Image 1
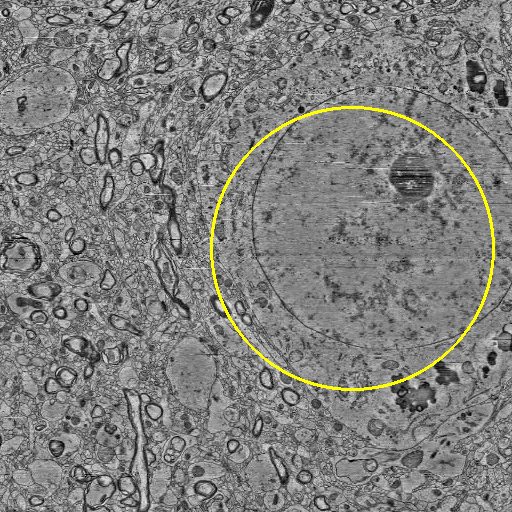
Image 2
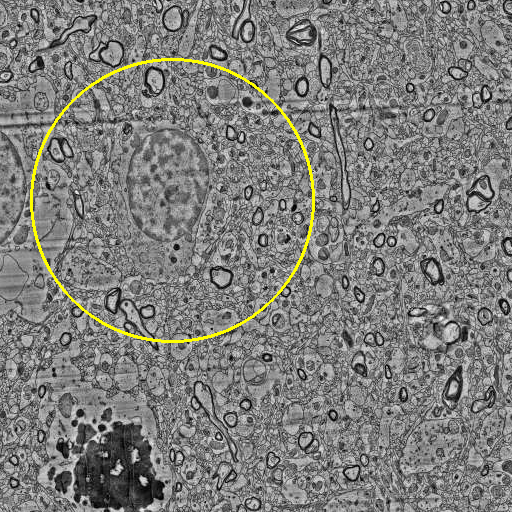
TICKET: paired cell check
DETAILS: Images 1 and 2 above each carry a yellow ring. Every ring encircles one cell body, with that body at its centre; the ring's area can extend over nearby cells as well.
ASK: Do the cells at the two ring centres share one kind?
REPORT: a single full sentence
No, the ring-centre cells of Images 1 and 2 belong to two kinds.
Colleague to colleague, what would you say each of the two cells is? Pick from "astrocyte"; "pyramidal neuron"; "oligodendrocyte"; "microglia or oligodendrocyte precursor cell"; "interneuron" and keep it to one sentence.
The cell in the first picture is a pyramidal neuron; the second picture's cell is an oligodendrocyte.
